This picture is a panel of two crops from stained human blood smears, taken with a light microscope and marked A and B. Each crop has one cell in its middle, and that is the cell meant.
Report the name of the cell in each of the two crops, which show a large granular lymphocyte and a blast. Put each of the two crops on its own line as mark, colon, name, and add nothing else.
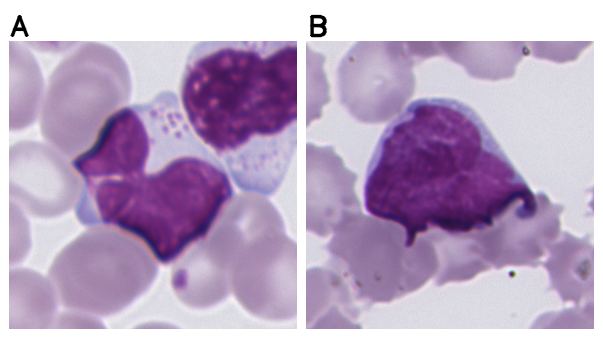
A: large granular lymphocyte
B: blast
